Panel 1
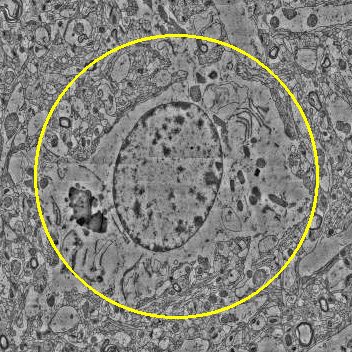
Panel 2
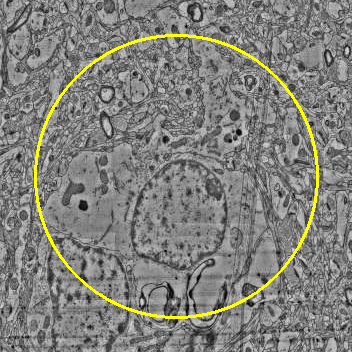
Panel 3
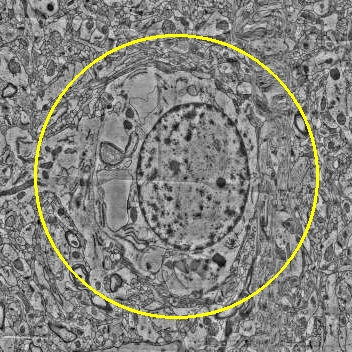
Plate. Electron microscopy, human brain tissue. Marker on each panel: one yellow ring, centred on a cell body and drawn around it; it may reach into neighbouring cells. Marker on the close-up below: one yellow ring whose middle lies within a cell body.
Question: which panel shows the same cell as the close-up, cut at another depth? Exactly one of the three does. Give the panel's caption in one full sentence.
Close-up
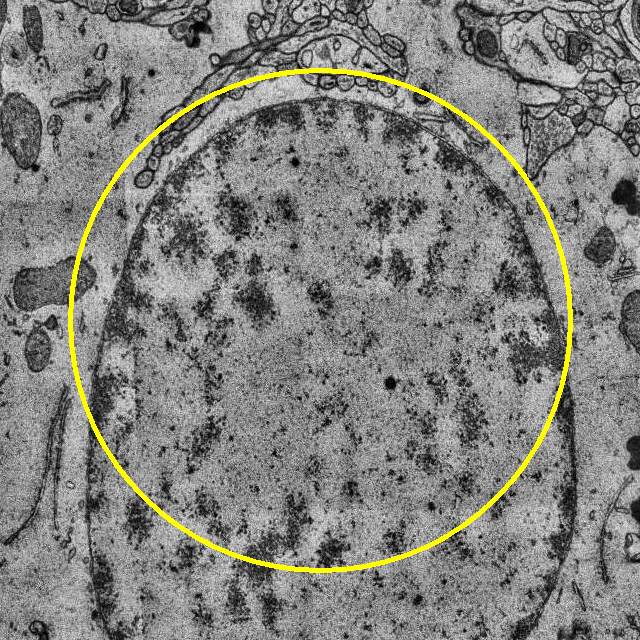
The close-up singles out the cell ringed in Panel 2.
